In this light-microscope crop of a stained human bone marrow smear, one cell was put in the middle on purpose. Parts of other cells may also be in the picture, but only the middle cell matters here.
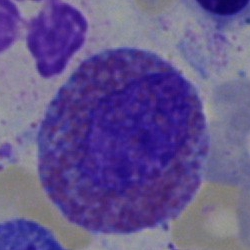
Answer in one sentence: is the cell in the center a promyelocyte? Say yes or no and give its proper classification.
No, the central cell is reported as an eosinophil rather than as a promyelocyte.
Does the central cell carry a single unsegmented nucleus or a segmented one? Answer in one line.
If you check the nucleus, you will find one compact mass, round, oval or kidney-shaped.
